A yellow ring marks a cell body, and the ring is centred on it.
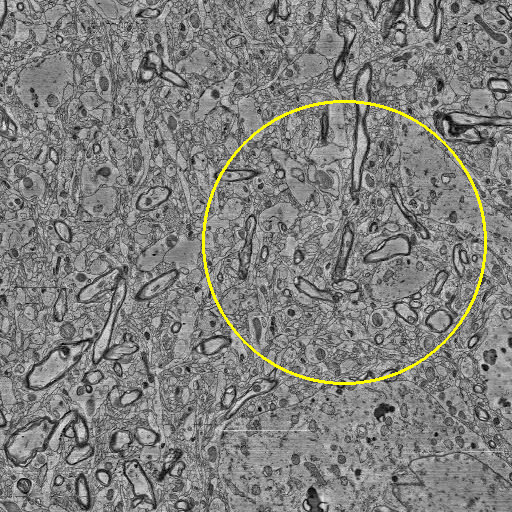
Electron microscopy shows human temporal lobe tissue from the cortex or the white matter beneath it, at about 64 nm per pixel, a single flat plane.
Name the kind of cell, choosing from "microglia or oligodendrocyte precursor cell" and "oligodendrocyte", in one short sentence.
The marked cell body belongs to an oligodendrocyte.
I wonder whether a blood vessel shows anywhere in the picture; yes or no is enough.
No, there is no blood vessel in the image.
